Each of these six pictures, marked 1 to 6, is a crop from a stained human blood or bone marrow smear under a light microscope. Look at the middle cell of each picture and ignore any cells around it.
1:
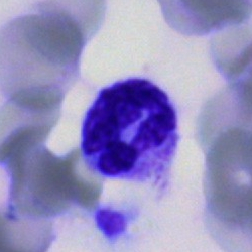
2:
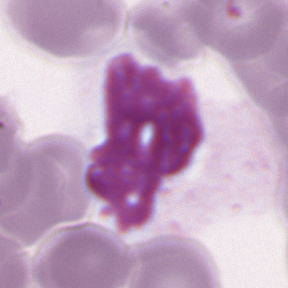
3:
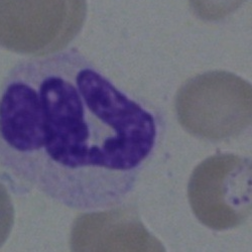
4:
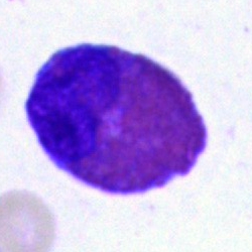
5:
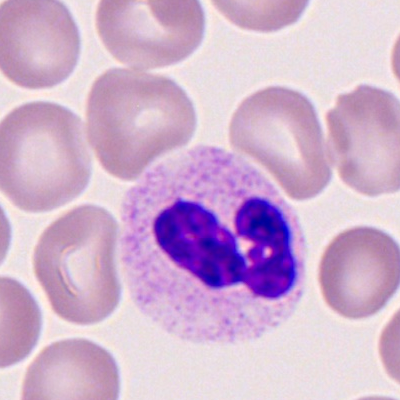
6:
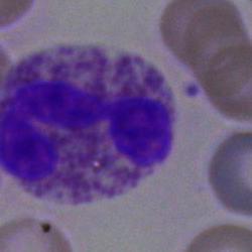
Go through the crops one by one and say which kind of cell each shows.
1: segmented neutrophil
2: segmented neutrophil
3: segmented neutrophil
4: eosinophil
5: segmented neutrophil
6: eosinophil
